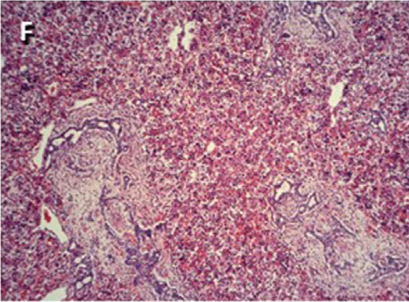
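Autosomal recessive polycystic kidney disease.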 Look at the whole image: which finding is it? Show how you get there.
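Broad pale pink fibrous areas interrupt the dense red-stained parenchyma. Small ducts and vessels lie within the pale fibrous areas.
Hence: congenital hepatic fibrosis.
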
